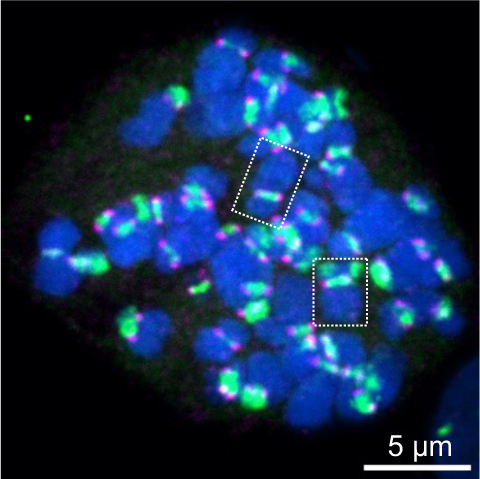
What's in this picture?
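This is a spread of condensed mitotic chromosomes from one cell, stained blue, with sister chromatids lying side by side. Most chromosomes carry a bright green block at their constriction, and on many it spans both chromatids. Some chromosomes carry a second green block toward one end, with no magenta beside it. Two dashed boxes pick out single chromosomes.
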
